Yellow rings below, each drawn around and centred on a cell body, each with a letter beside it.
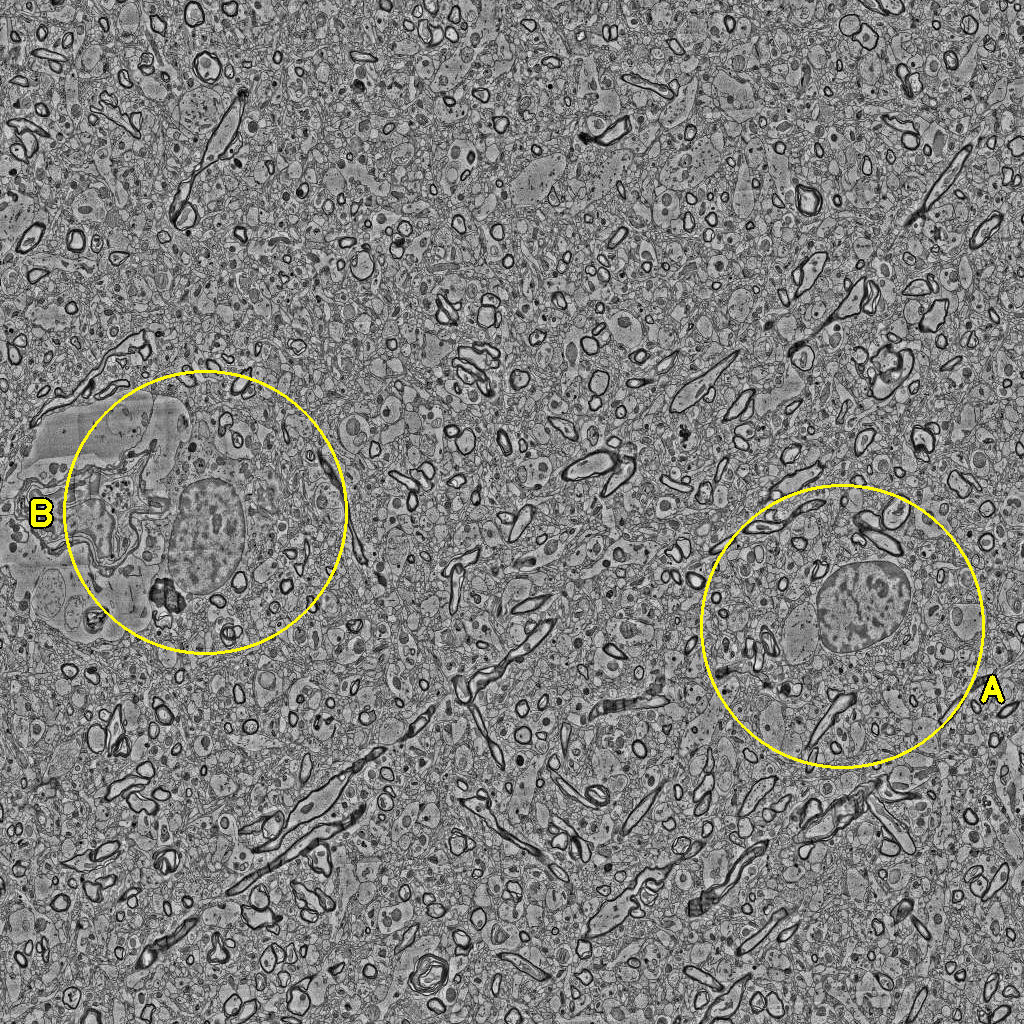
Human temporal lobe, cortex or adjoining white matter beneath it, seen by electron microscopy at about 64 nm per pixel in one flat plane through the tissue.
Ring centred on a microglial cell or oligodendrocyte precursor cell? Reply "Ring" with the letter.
Ring A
